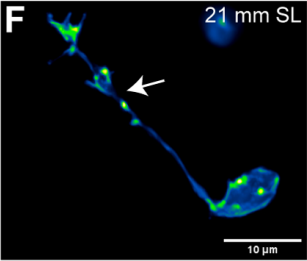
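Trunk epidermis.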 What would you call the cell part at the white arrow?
Longest protrusion.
